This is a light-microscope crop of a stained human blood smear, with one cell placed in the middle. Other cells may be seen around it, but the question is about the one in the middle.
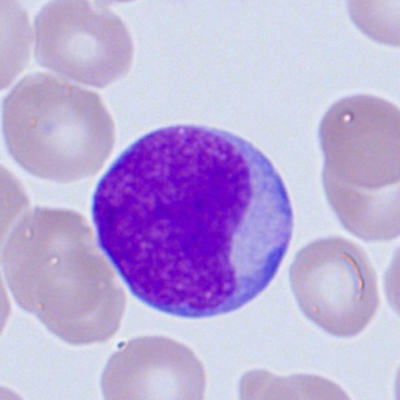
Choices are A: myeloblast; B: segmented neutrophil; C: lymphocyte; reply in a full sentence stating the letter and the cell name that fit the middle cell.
The correct response is option A, naming the cell in the middle as a myeloblast.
